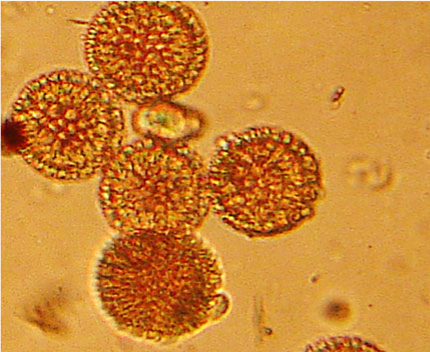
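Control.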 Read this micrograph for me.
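Round pollen grains are shown, each with a thick wall densely set with small spines that give the surface a studded look. The grains are filled and deeply stained orange-brown throughout, and several lie touching one another in a small cluster.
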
